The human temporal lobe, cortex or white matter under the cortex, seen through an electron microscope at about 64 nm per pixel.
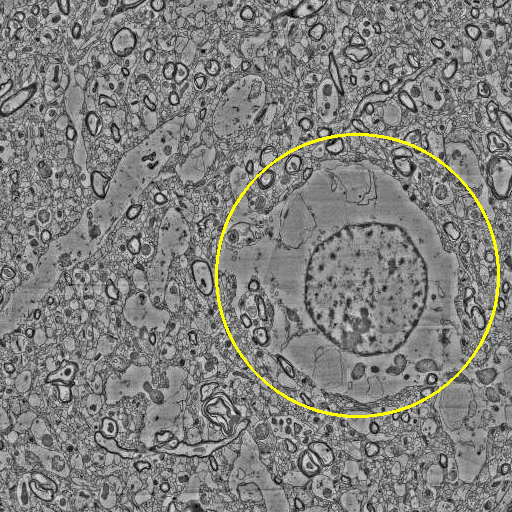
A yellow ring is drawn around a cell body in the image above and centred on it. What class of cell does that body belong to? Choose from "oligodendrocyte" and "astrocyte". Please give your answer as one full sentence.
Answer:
The yellow ring above is centred on the cell body of an astrocyte.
